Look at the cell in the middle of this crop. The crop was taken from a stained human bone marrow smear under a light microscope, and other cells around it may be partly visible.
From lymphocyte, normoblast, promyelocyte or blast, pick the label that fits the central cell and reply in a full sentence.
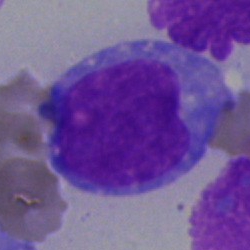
Classified as a blast is the cell in the middle of this crop.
